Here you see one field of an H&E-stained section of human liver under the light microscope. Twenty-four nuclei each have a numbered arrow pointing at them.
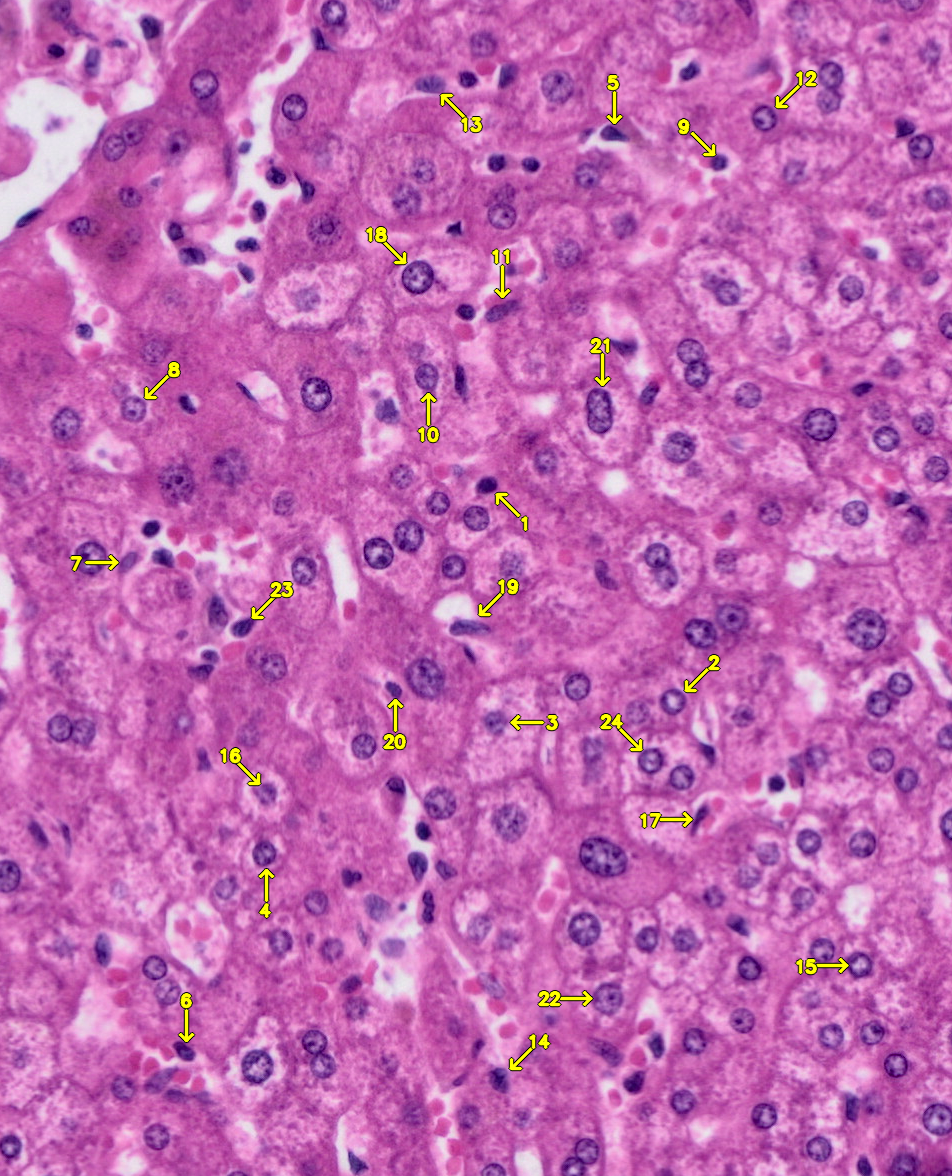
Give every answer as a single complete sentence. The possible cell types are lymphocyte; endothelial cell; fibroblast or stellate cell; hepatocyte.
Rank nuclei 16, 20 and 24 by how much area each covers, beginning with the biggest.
From largest to smallest, the order is 24, 16, 20.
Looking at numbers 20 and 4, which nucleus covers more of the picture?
Nucleus 4 is the larger one, covering about 2 times the area of nucleus 20.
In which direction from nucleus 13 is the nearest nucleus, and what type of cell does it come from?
The nearest one is a lymphocyte, found to the right of nucleus 13.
